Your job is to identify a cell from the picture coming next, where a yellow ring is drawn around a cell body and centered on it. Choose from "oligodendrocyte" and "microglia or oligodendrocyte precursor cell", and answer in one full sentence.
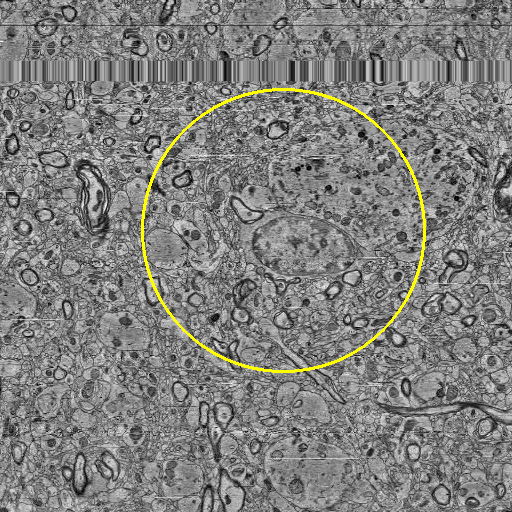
Centered in the yellow ring of the picture is the body of an oligodendrocyte.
